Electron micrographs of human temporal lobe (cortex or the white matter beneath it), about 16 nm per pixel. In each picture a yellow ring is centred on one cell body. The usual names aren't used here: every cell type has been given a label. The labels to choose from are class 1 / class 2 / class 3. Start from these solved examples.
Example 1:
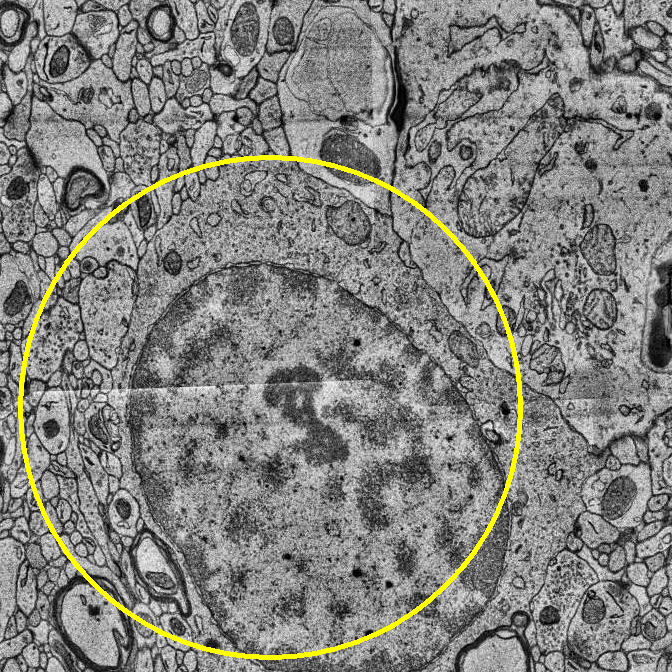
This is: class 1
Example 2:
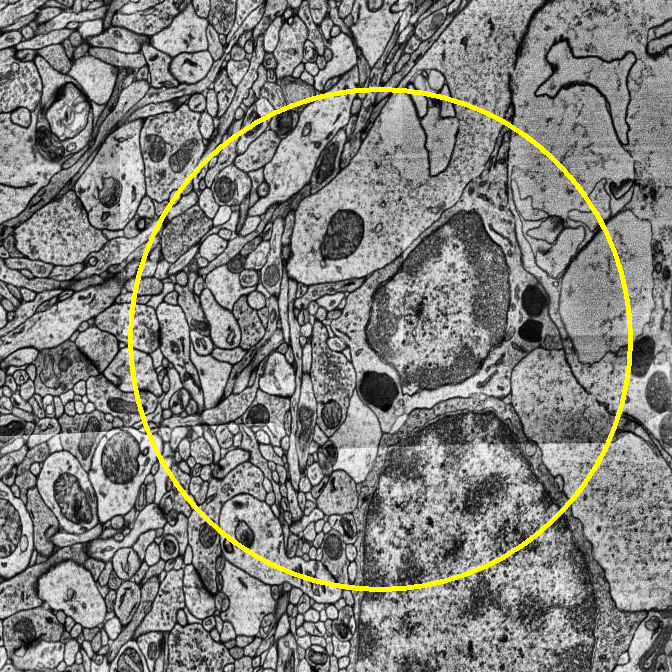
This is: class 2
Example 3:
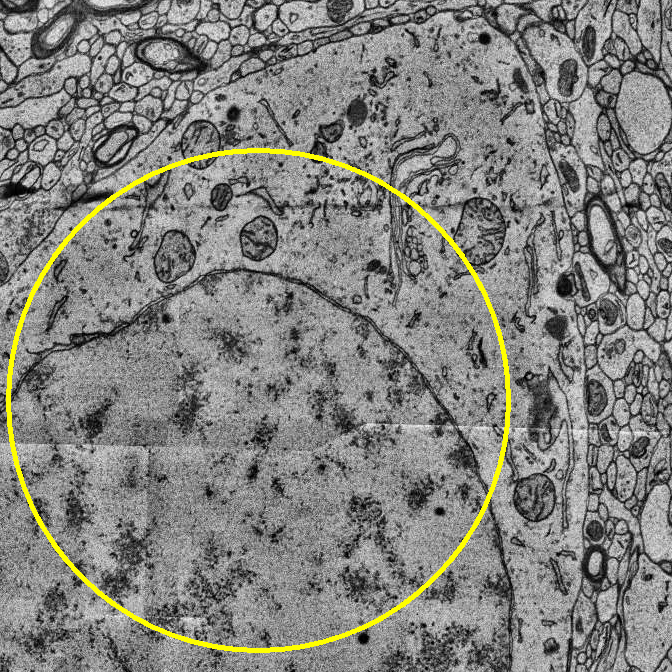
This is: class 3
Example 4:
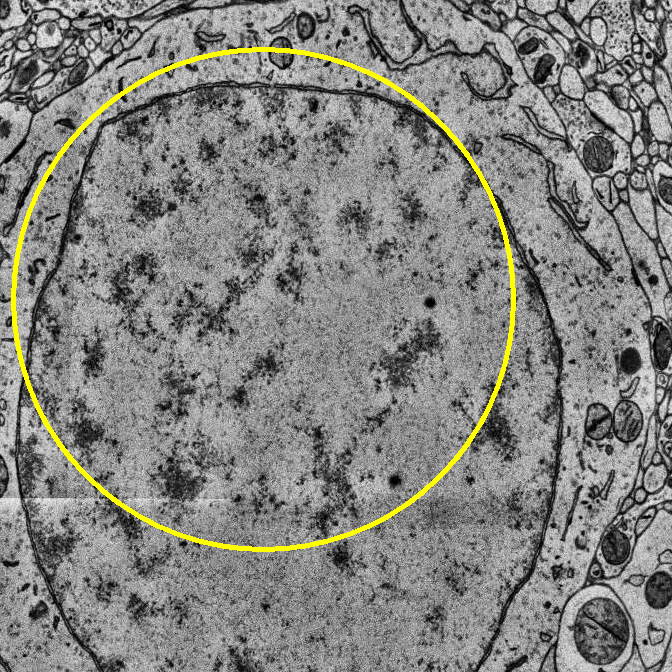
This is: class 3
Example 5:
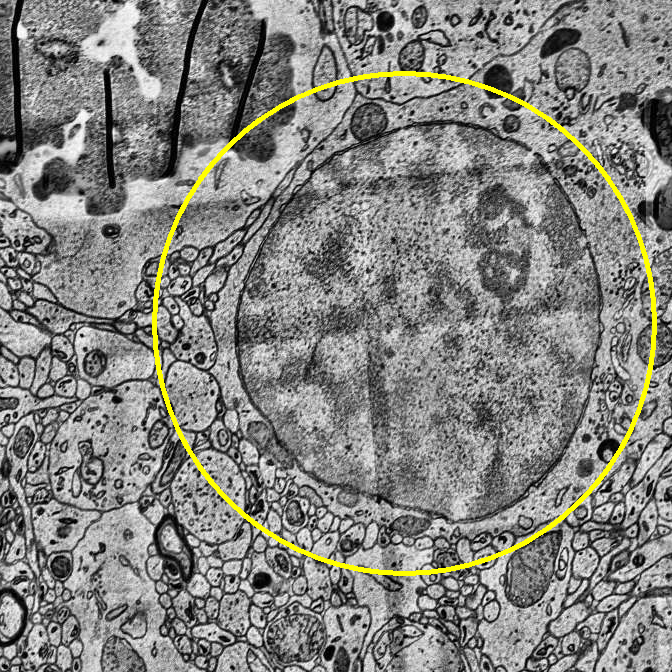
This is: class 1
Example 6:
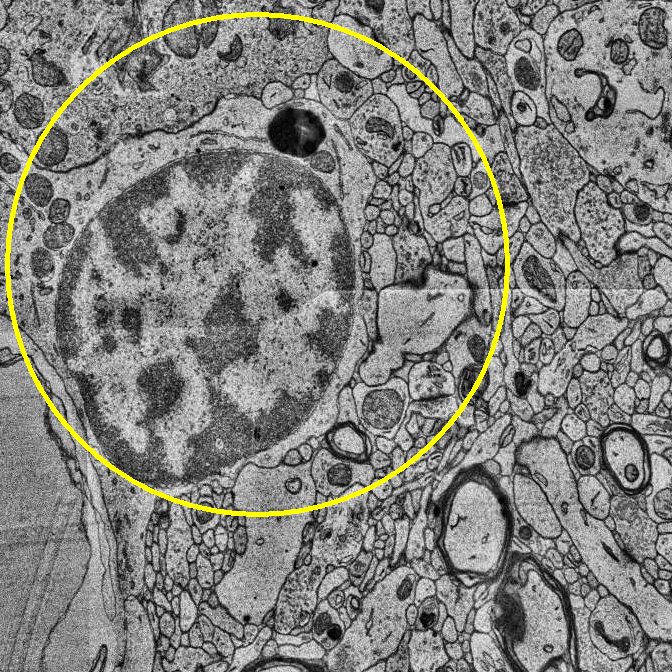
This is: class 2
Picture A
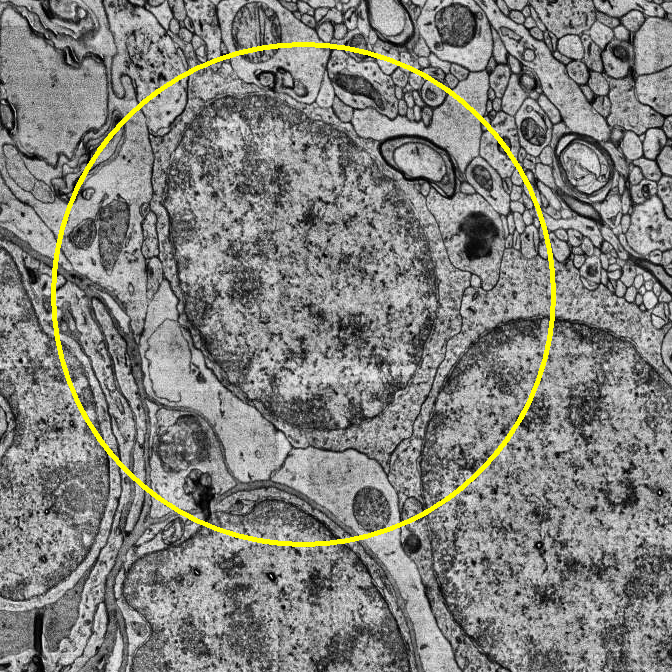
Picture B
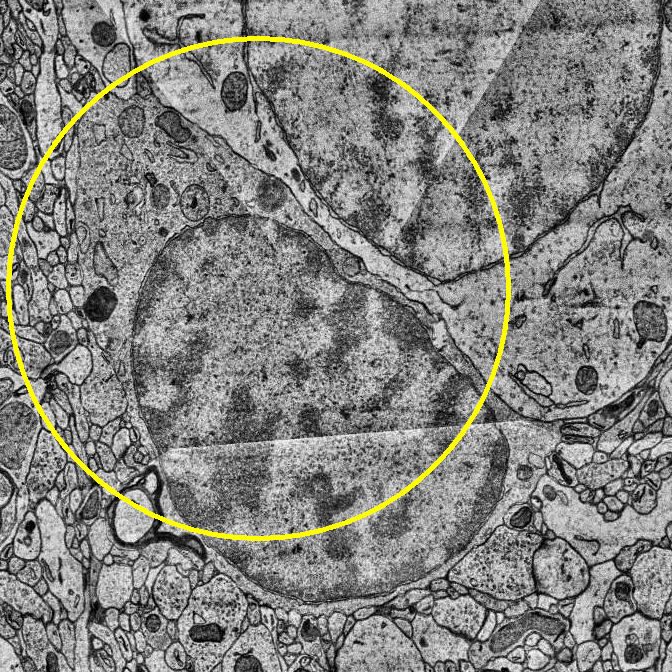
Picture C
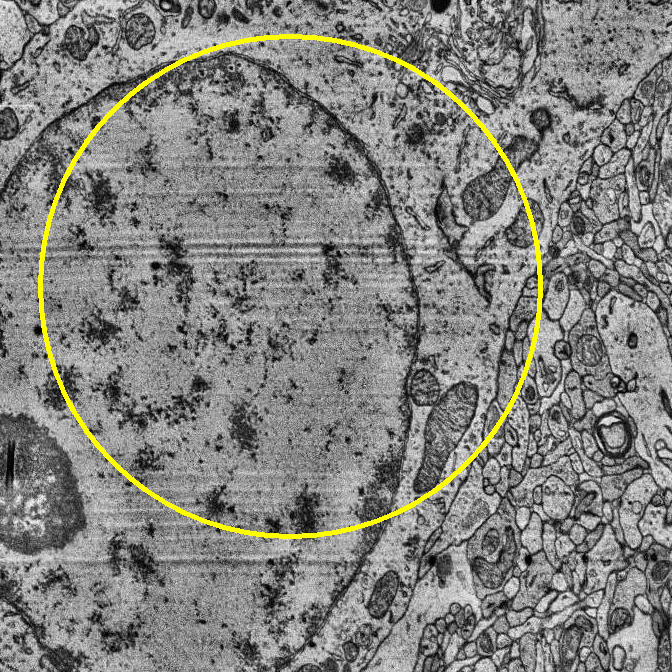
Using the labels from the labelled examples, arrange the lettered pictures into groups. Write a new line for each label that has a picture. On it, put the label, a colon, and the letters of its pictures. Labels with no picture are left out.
class 1: A, B
class 3: C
